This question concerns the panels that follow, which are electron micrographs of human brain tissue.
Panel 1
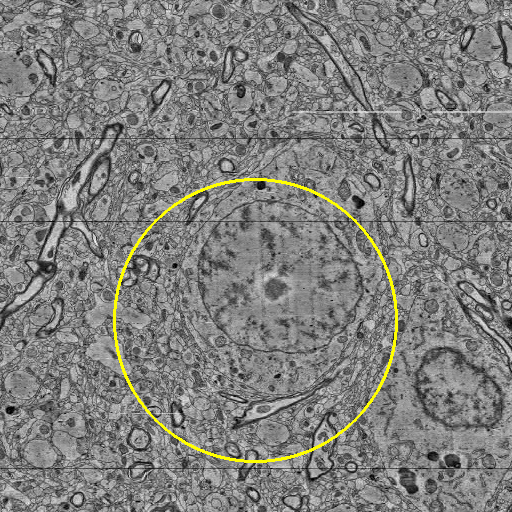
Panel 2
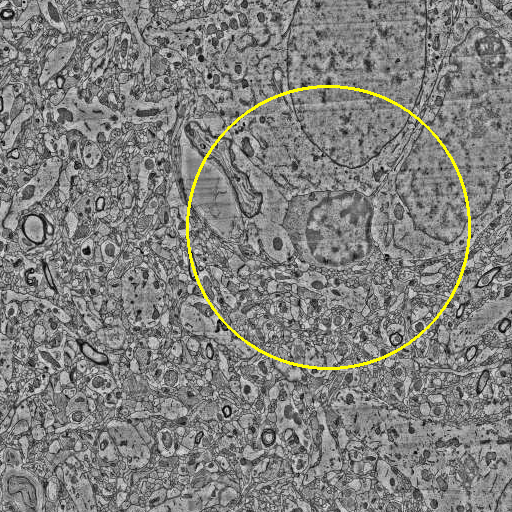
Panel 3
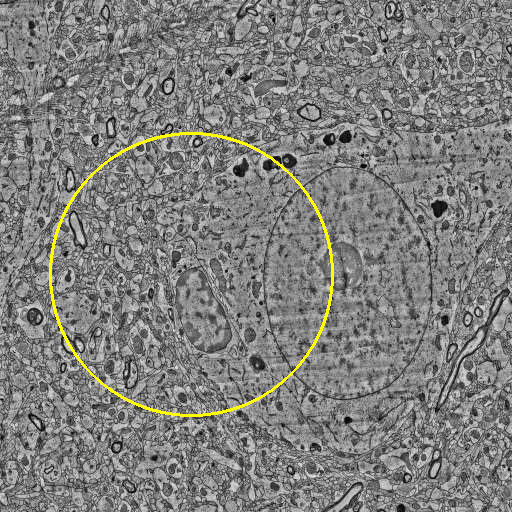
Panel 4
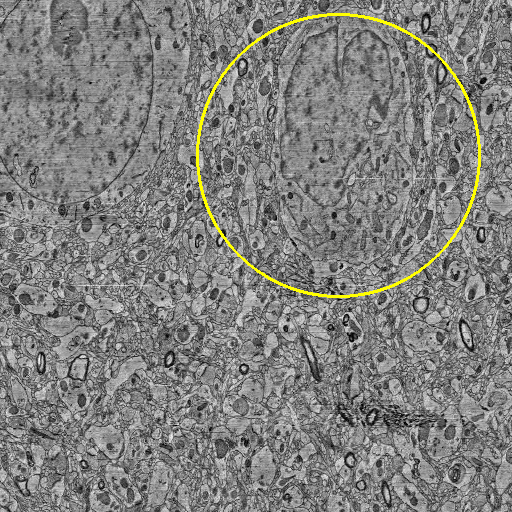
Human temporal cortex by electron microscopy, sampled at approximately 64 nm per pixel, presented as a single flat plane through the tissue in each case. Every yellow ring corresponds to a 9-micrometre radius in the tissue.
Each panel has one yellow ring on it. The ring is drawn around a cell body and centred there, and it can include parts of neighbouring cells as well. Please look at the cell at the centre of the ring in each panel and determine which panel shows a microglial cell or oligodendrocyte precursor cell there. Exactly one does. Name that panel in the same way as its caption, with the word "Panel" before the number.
Panel 3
